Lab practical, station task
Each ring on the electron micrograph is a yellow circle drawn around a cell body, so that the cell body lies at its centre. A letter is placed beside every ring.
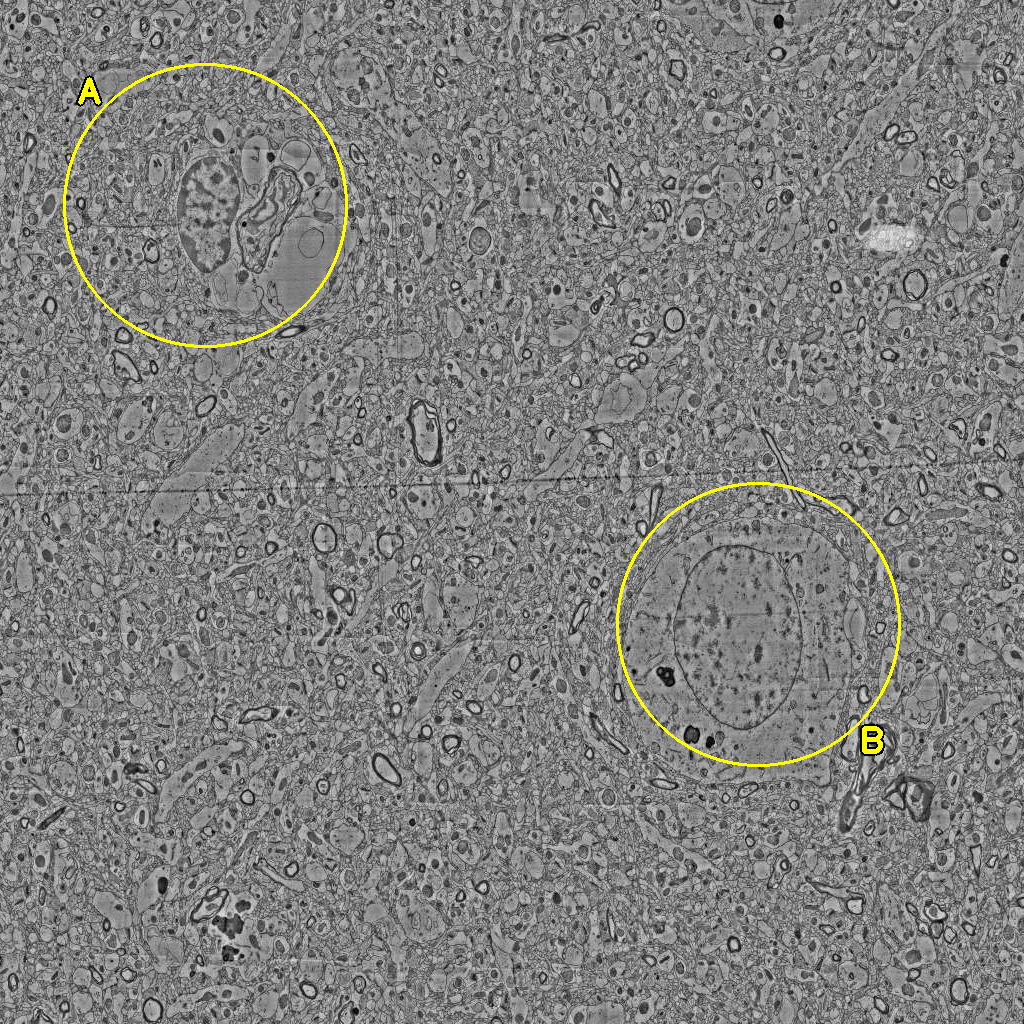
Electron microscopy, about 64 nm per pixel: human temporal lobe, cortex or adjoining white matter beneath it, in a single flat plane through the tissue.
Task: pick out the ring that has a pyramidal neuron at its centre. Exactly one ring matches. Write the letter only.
B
